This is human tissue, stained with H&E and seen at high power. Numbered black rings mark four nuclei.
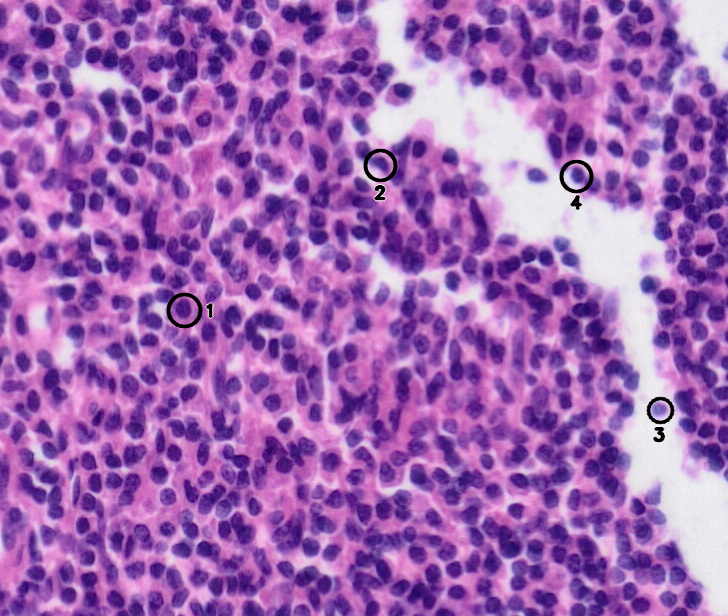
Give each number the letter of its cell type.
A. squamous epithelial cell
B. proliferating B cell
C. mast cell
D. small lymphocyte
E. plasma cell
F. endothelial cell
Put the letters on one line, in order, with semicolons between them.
E; D; D; D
